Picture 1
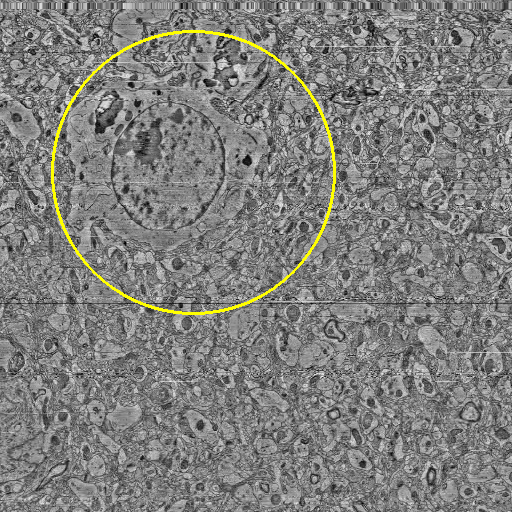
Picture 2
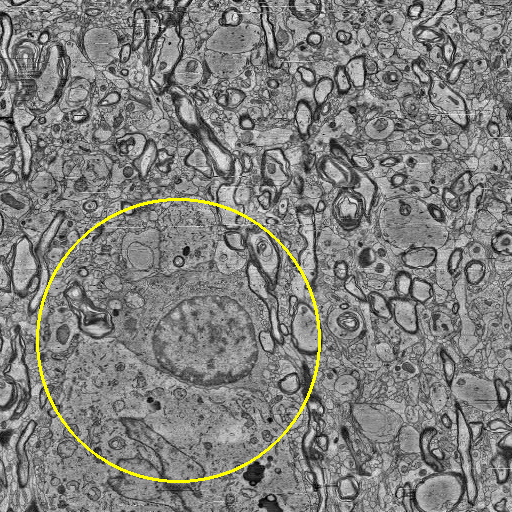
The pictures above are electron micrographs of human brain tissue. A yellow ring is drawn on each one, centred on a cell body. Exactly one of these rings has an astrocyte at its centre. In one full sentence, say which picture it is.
Picture 1 has it at the centre of its ring.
